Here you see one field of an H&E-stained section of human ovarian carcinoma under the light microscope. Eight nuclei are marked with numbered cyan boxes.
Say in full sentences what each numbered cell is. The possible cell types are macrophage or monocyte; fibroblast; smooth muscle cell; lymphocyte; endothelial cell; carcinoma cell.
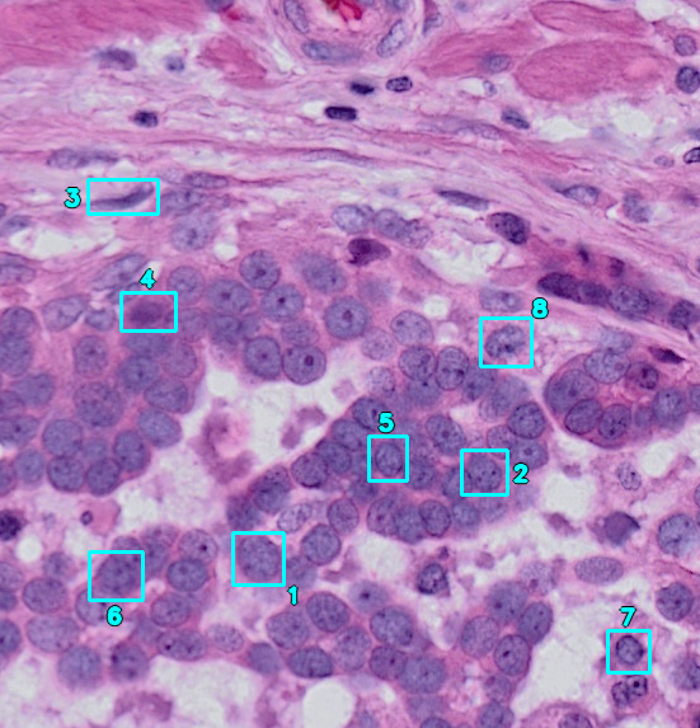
Cell 1 is a carcinoma cell, cell 2 is a carcinoma cell, cell 3 is a fibroblast, cell 4 is a carcinoma cell, cell 5 is a carcinoma cell, cell 6 is a carcinoma cell, cell 7 is a macrophage or monocyte and cell 8 is a macrophage or monocyte.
